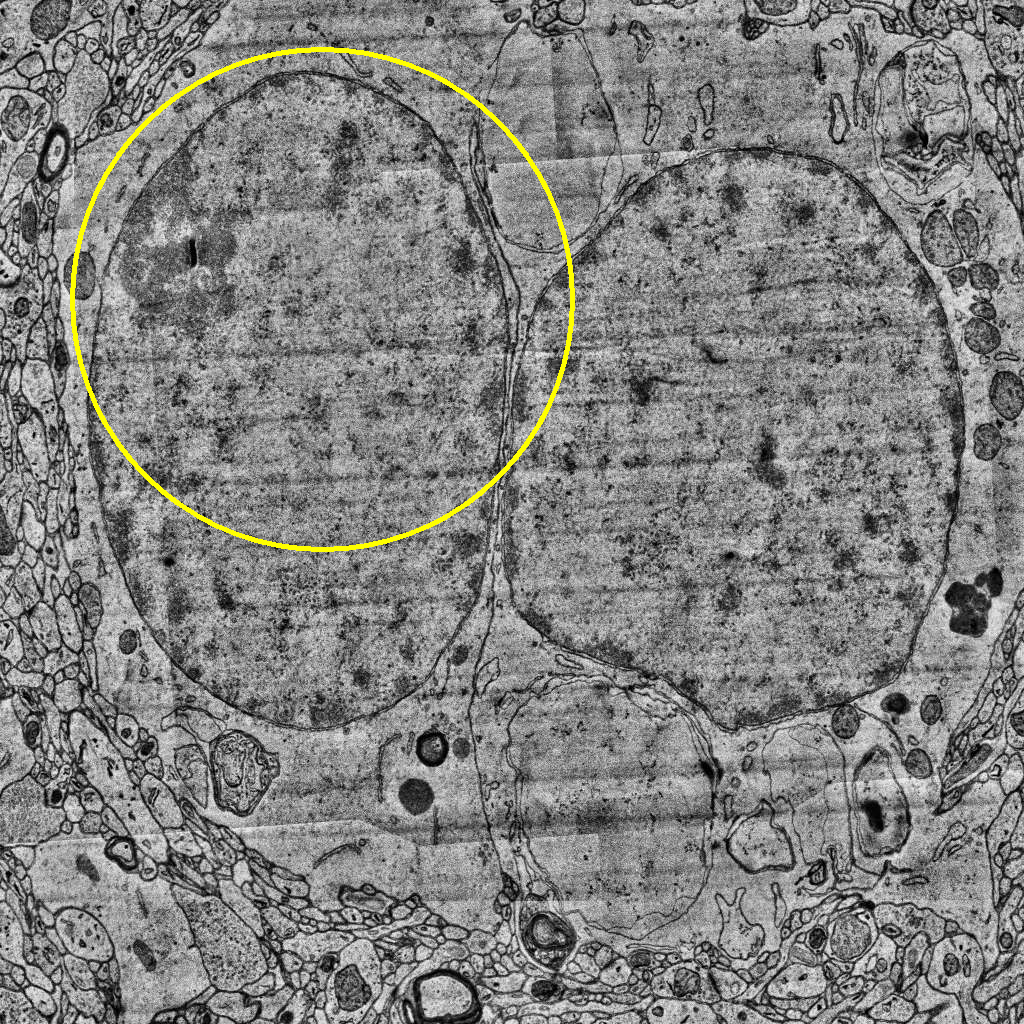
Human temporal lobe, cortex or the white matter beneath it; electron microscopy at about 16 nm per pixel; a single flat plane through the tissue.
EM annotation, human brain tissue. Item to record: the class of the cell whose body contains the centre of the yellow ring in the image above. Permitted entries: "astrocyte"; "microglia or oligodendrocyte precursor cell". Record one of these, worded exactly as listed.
astrocyte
